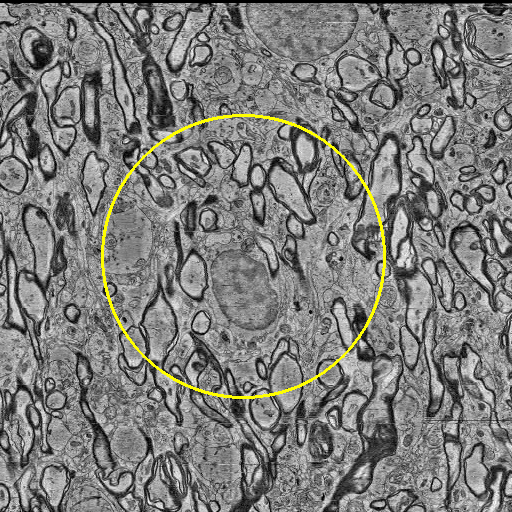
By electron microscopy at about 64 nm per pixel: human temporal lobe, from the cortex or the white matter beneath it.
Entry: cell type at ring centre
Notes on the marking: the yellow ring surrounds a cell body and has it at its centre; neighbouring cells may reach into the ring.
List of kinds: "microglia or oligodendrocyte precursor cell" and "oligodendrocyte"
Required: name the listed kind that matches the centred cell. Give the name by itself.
oligodendrocyte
